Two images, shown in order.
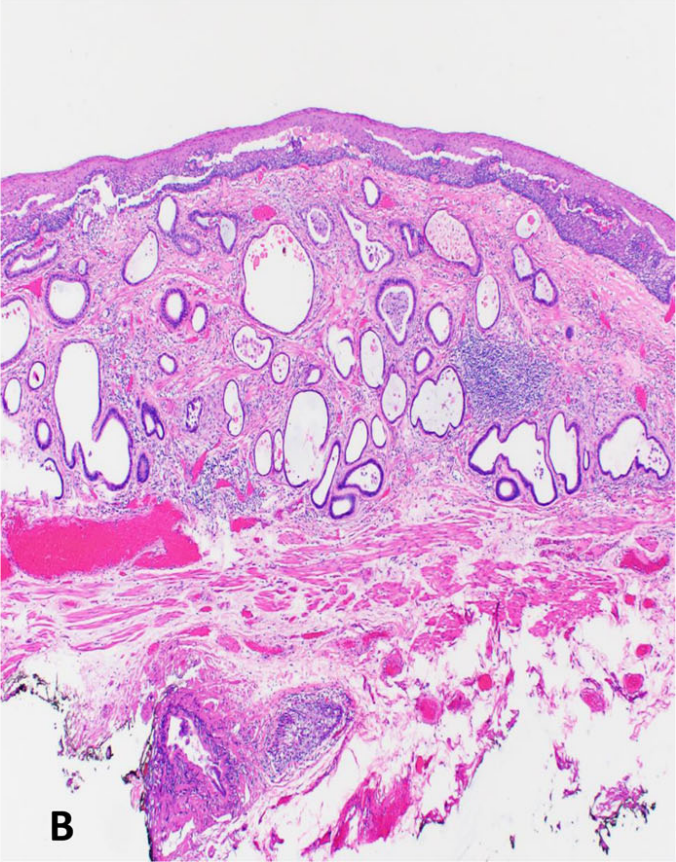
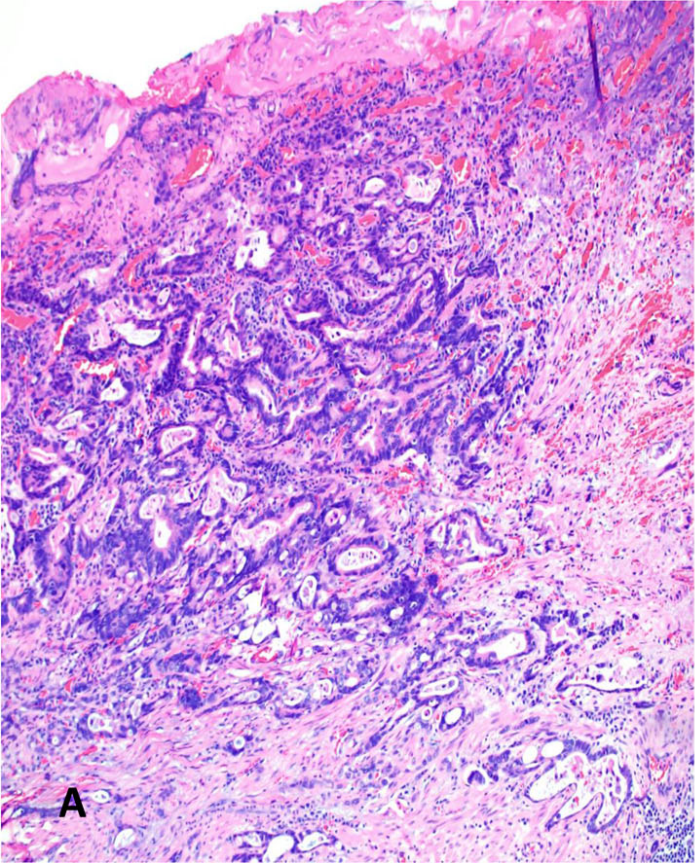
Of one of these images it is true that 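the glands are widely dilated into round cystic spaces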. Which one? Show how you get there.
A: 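The first image. First image: numerous glands are distended into large, round, empty cysts of varying size. Second image: the glands are small, angulated and irregular, with narrow lumens, infiltrating dense stroma.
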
